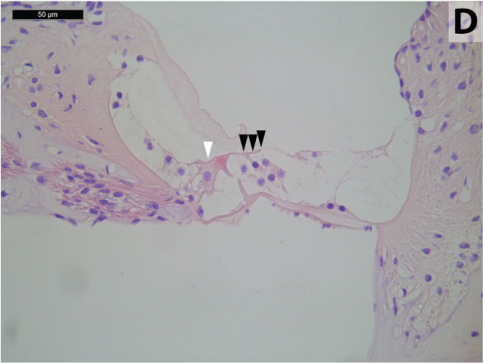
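A section through the cochlear duct shows the sensory epithelium resting on a thin pink basilar membrane that stretches from the inner bony shelf on the left to the outer wall on the right. A thin, pale pink acellular membrane extends from the left over the epithelium. The hair cells marked by arrowheads have round purple nuclei and sit beside a pink pillar-like structure, with small fluid spaces in the epithelium.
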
